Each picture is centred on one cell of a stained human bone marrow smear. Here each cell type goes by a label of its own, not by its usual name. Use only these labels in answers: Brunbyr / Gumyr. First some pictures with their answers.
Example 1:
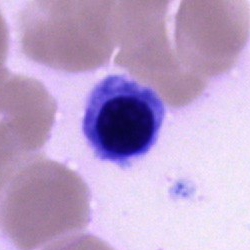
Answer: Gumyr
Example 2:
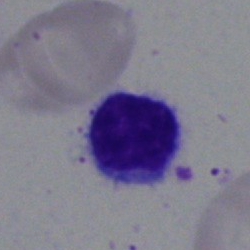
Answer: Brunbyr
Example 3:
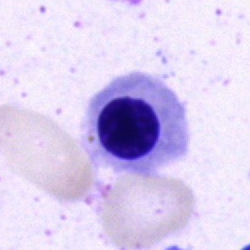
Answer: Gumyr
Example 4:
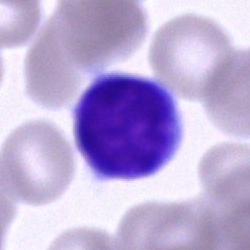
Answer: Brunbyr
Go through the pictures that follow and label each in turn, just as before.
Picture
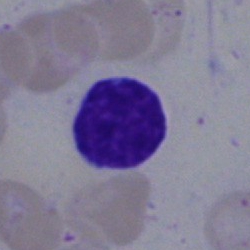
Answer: Brunbyr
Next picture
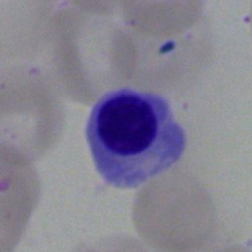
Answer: Gumyr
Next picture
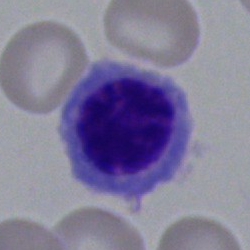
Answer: Gumyr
